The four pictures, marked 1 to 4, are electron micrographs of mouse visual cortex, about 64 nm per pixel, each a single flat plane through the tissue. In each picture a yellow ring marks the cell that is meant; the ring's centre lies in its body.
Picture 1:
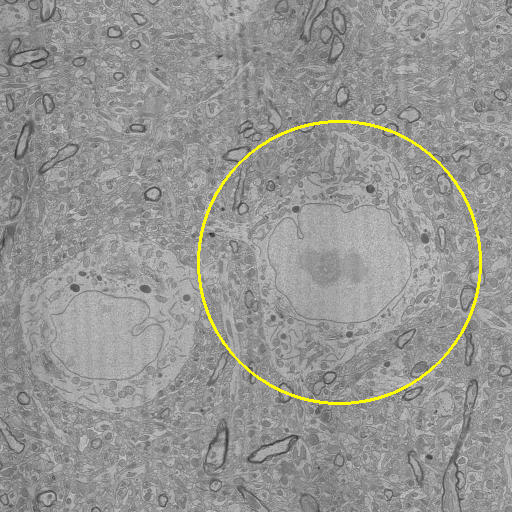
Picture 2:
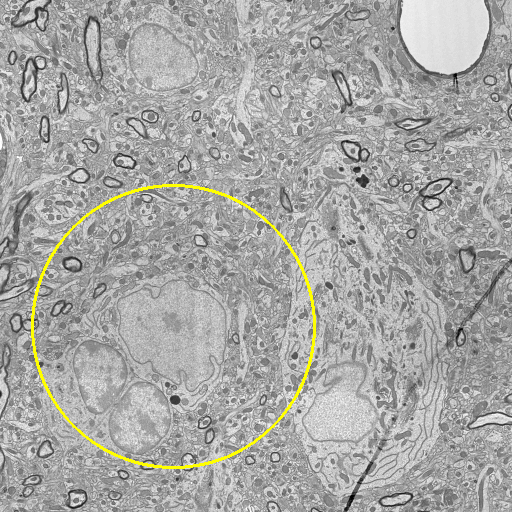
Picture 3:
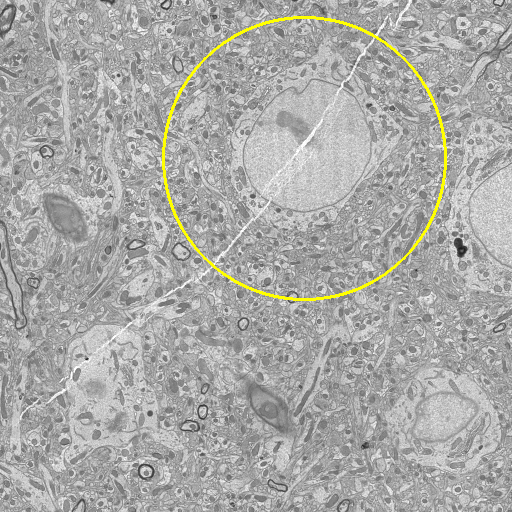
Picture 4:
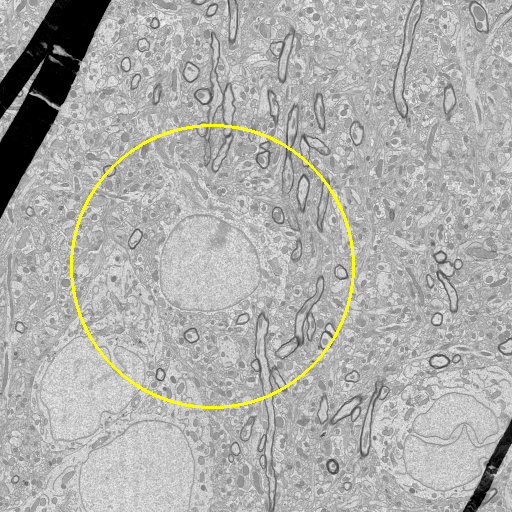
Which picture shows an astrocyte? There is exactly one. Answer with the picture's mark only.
4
